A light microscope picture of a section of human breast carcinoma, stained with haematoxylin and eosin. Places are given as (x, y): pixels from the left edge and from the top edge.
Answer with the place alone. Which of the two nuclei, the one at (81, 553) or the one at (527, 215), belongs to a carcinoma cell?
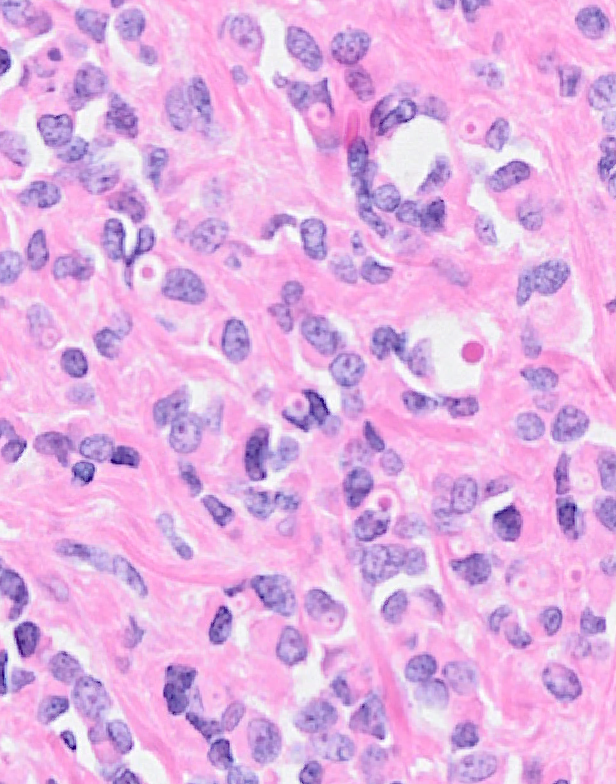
(527, 215)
